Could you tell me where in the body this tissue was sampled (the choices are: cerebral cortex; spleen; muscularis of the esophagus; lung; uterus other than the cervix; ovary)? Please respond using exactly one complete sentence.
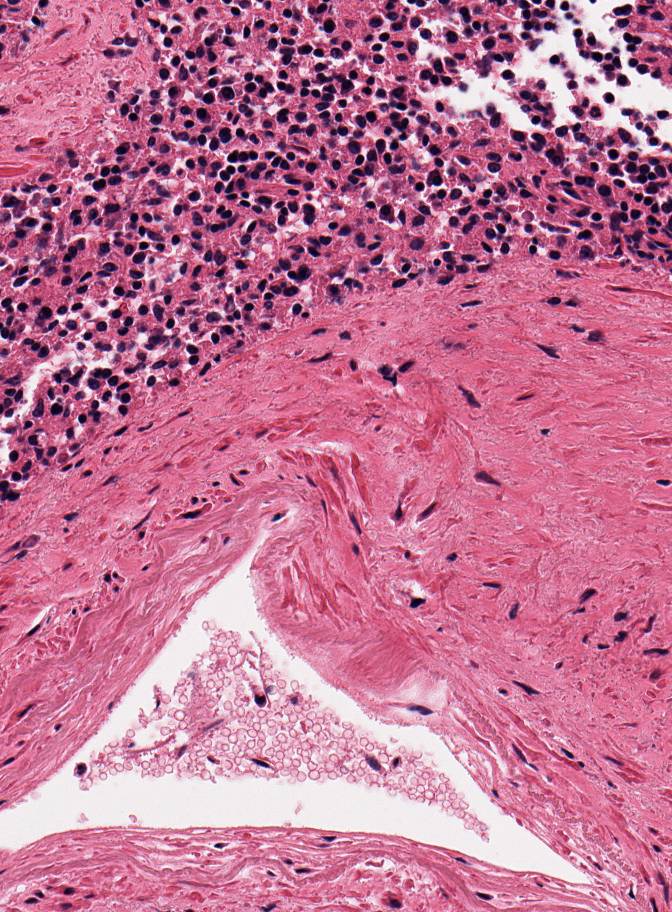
Tissue was sampled from the spleen for this slide.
